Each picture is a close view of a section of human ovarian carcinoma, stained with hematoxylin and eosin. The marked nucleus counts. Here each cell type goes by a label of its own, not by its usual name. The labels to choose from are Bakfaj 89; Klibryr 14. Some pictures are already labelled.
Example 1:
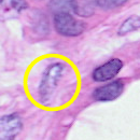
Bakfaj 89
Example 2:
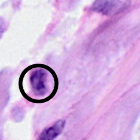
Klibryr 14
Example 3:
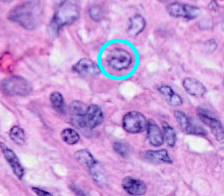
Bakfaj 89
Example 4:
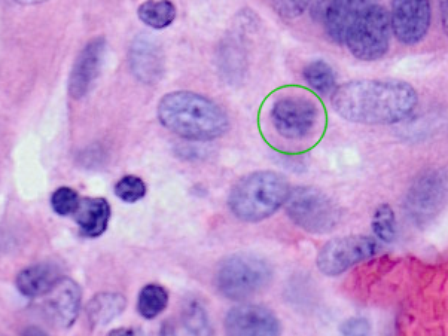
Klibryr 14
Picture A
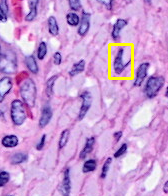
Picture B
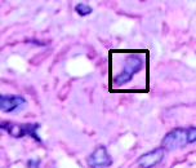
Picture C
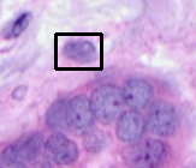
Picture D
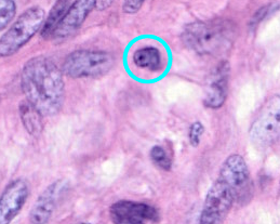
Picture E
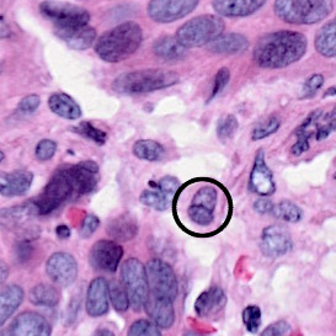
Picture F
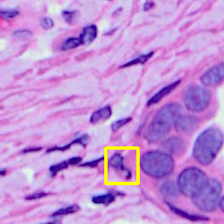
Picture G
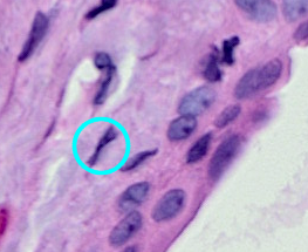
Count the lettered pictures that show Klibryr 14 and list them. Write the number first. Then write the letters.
Count: 3 (C, D, E)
